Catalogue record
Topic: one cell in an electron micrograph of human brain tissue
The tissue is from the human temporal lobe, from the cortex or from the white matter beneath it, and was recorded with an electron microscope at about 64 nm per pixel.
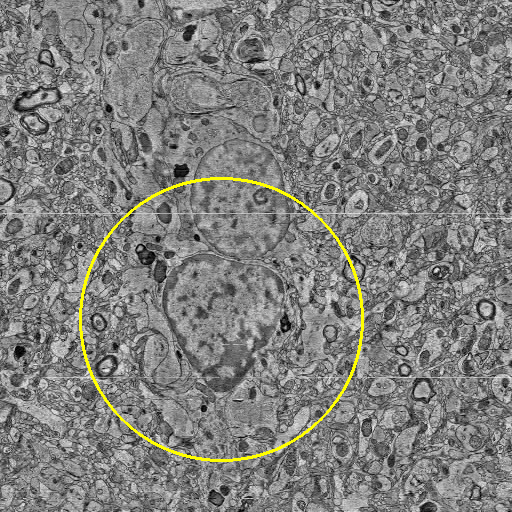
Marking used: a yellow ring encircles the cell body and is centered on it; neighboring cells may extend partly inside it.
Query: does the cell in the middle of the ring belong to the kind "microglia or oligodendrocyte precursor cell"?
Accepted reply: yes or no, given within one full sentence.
Yes, the cell centered in the ring in the picture is of that kind.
